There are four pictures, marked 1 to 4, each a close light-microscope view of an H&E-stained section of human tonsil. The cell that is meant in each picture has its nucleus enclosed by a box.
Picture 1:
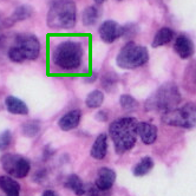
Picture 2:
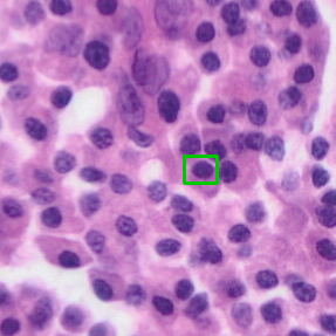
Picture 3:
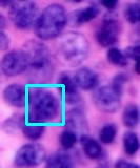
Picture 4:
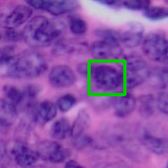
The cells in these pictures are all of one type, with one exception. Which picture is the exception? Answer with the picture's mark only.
2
